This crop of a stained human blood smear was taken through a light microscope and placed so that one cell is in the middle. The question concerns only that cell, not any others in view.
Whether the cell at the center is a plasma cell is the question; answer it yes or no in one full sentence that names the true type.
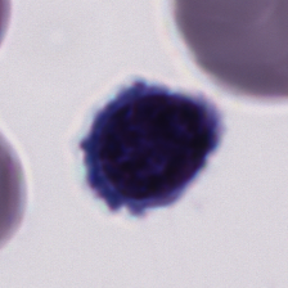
Yes, the central element of the crop is a plasma cell.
